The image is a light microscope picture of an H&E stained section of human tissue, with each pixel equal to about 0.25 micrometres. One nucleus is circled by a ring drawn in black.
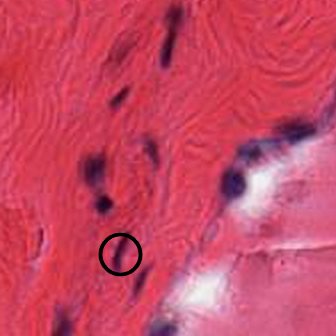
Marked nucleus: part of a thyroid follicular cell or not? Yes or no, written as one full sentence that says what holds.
No, instead of a thyroid follicular cell, a supporting cell is what the marked nucleus belongs to.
